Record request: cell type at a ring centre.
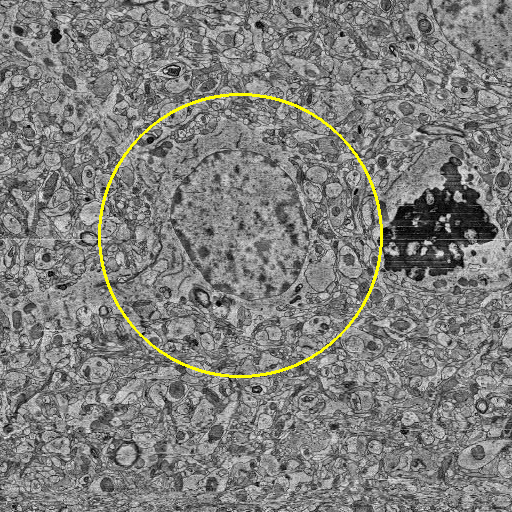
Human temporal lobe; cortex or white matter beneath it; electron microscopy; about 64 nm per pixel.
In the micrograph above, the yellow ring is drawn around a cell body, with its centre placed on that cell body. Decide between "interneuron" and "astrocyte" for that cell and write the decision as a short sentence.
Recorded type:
The cell centred in the yellow ring is an astrocyte.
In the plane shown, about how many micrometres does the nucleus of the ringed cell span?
In this plane the nucleus spans approximately 10 by 8 micrometers.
